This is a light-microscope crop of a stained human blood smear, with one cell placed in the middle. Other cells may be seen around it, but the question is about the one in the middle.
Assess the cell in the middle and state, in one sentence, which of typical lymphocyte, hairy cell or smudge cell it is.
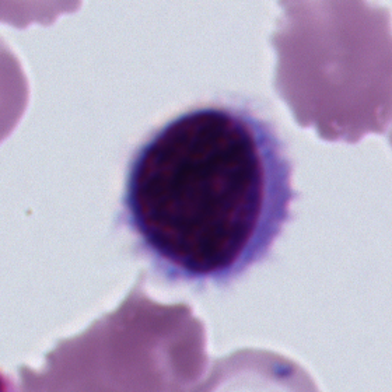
Centrally within this crop lies a hairy cell.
